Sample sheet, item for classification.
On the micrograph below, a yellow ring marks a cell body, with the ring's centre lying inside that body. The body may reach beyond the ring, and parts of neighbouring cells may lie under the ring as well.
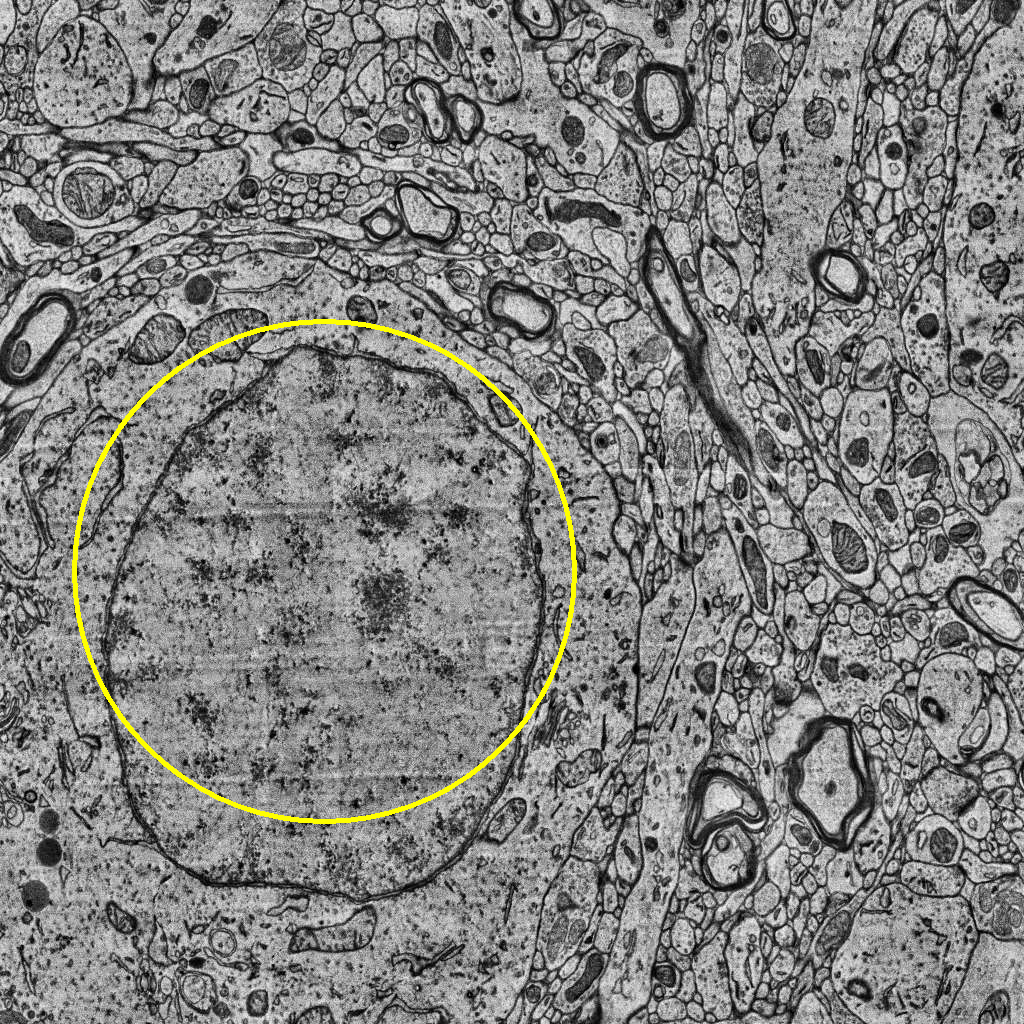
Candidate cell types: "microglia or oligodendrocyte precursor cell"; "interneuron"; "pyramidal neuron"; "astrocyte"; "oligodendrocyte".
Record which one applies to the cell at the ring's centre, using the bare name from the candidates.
pyramidal neuron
